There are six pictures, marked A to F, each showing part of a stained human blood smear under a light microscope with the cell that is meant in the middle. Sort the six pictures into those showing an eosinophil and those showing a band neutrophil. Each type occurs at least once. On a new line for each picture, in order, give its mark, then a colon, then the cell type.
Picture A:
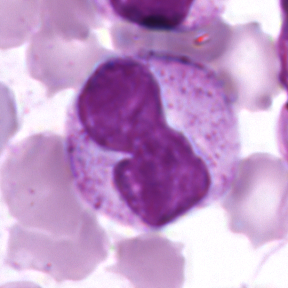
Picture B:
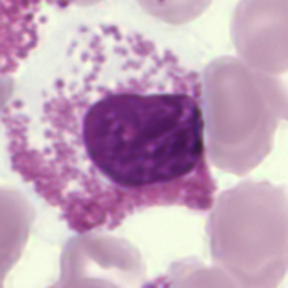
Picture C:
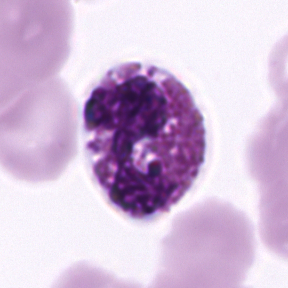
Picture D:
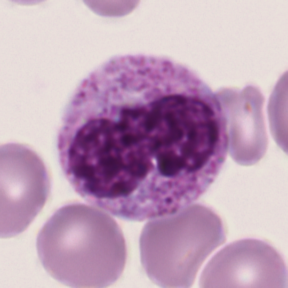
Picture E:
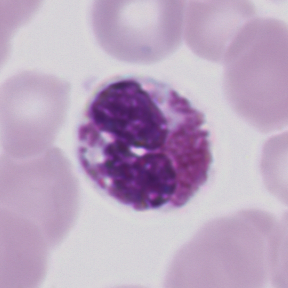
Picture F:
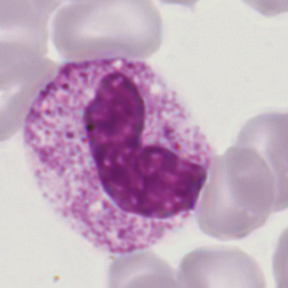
A: band neutrophil
B: eosinophil
C: eosinophil
D: band neutrophil
E: eosinophil
F: band neutrophil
